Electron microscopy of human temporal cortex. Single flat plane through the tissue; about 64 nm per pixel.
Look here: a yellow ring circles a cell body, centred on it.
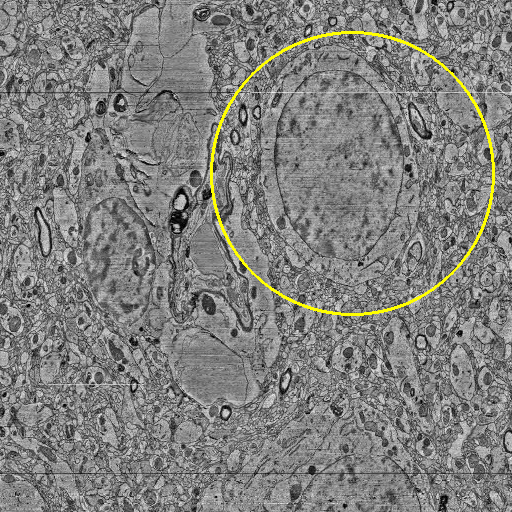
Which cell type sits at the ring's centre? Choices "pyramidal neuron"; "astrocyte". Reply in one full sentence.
The cell at the centre of the yellow ring in the picture is a pyramidal neuron.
